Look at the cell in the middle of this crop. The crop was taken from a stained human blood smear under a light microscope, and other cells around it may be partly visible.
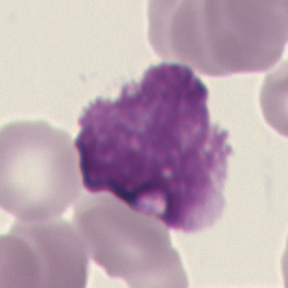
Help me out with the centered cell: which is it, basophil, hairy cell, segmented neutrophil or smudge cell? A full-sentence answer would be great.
The cell sitting right in the middle is a smudge cell.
